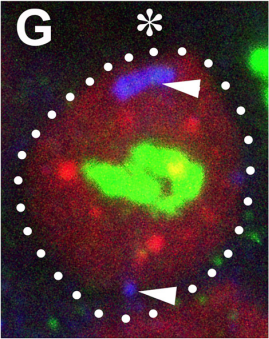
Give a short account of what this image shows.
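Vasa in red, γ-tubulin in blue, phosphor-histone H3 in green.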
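A rounded dividing cell within a dotted outline holds a compact green mass of condensed chromosomes near its centre. At the upper end, toward the asterisk, a blue body is stretched into a short rod, while at the lower end only a tiny faint blue dot is seen, each marked by a white arrowhead. A few red granules lie in the cytoplasm beside the chromosomes. The two spindle poles are thus strikingly unequal, the upper centrosome being elongated and much larger than the lower one.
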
